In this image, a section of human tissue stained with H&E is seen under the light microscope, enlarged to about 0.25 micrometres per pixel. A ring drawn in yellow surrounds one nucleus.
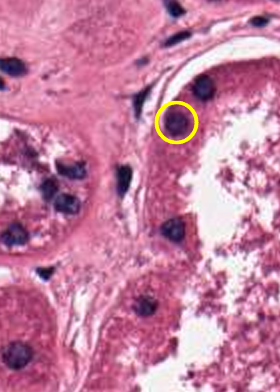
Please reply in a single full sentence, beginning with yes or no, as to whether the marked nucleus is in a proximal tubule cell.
Yes, the cell containing the marked nucleus is a proximal tubule cell.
